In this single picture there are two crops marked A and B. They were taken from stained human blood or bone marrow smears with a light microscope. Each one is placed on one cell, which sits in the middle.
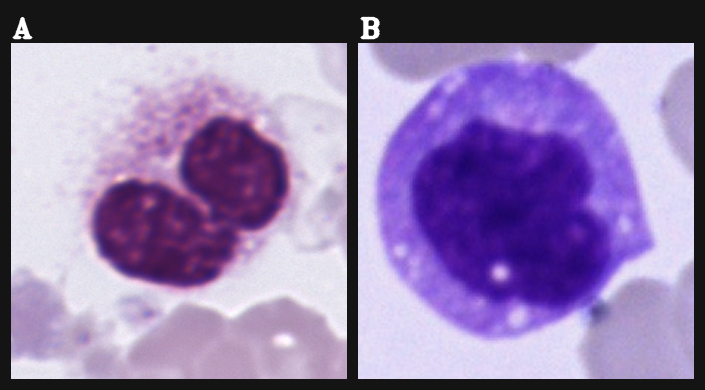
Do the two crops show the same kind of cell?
no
